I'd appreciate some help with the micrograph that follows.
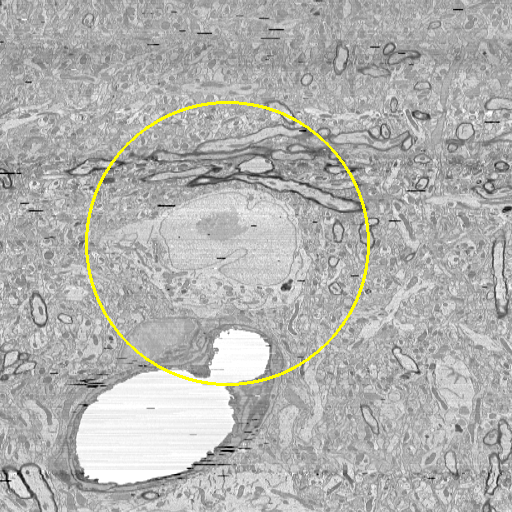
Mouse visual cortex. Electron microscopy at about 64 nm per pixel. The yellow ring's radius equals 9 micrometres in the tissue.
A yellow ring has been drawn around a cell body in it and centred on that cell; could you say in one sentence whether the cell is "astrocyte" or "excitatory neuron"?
It is an excitatory neuron at the centre of the ring.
